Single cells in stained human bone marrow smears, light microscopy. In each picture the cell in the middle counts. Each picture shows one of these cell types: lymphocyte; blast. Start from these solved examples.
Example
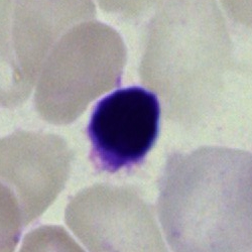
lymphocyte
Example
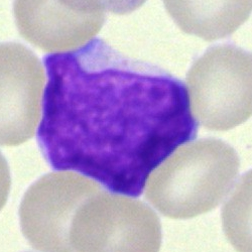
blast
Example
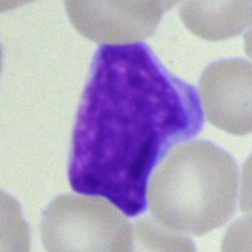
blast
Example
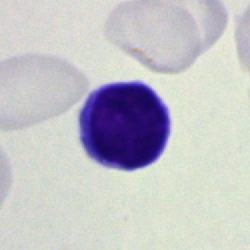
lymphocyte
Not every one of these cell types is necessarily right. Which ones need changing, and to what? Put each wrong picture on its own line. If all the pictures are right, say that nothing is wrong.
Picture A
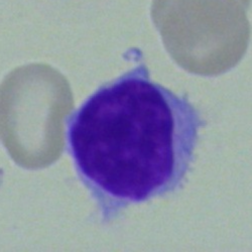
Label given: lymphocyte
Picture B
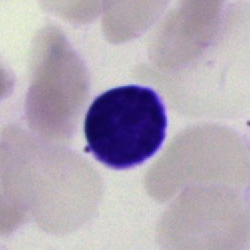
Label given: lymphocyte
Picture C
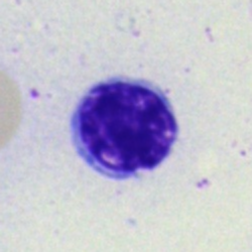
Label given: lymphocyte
Every label is right.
